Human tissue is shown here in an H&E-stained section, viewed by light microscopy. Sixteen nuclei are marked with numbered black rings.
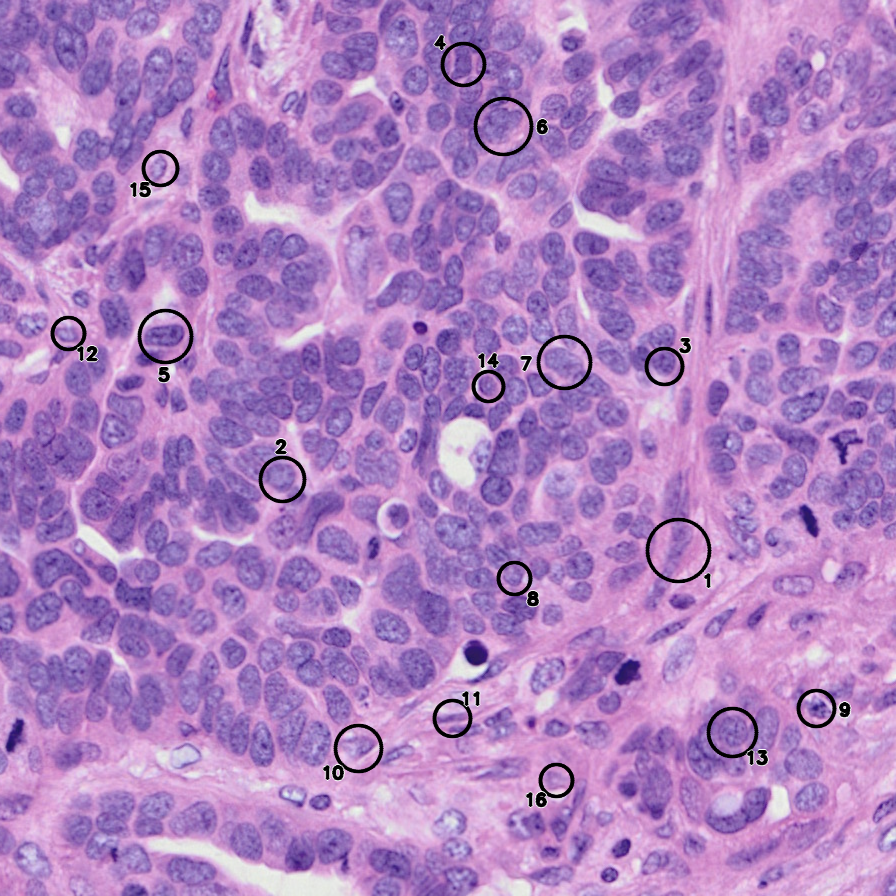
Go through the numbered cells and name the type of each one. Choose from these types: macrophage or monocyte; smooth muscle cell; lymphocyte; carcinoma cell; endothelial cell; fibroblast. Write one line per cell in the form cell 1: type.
cell 1: fibroblast
cell 2: carcinoma cell
cell 3: carcinoma cell
cell 4: carcinoma cell
cell 5: carcinoma cell
cell 6: carcinoma cell
cell 7: carcinoma cell
cell 8: carcinoma cell
cell 9: lymphocyte
cell 10: fibroblast
cell 11: fibroblast
cell 12: fibroblast
cell 13: carcinoma cell
cell 14: carcinoma cell
cell 15: fibroblast
cell 16: fibroblast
